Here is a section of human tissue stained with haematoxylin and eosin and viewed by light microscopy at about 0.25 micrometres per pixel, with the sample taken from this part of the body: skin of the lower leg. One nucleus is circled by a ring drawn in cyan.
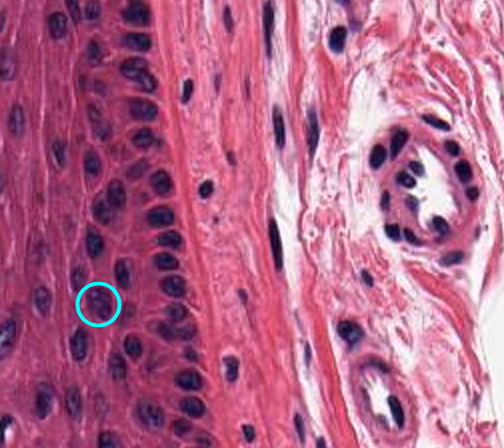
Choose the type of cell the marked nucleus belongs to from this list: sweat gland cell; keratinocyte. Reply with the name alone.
keratinocyte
